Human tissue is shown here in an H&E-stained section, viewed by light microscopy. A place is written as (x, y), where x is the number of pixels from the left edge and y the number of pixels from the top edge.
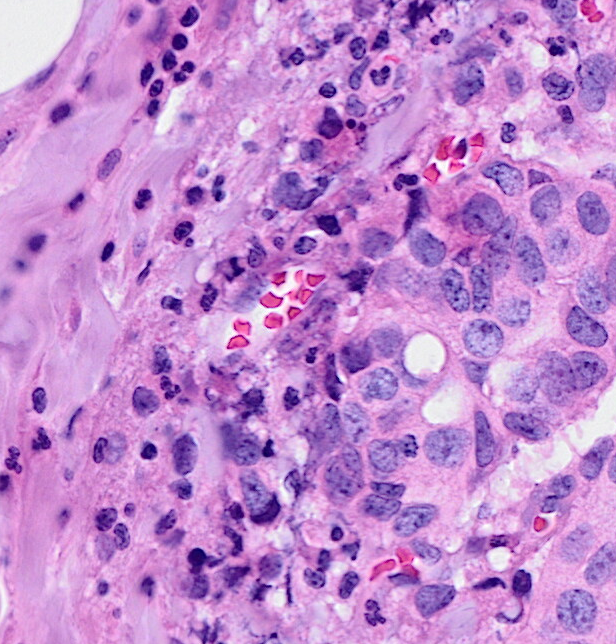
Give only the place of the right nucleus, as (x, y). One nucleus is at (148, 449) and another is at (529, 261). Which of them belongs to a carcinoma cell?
(529, 261)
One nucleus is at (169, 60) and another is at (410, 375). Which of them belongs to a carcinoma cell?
(410, 375)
